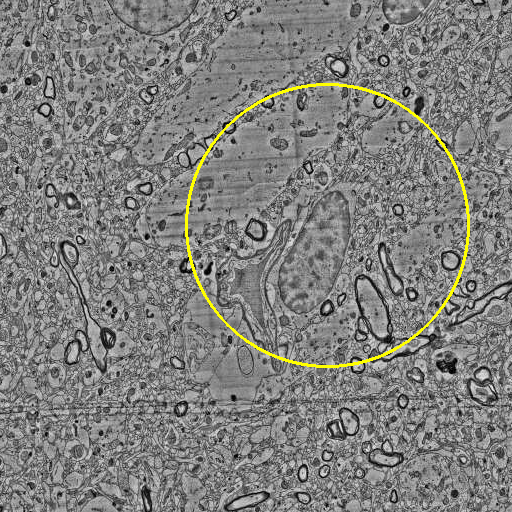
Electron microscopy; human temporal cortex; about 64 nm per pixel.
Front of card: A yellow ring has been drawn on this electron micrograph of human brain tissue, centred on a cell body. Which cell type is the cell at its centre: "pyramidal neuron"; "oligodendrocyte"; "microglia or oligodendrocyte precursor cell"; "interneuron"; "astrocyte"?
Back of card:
oligodendrocyte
